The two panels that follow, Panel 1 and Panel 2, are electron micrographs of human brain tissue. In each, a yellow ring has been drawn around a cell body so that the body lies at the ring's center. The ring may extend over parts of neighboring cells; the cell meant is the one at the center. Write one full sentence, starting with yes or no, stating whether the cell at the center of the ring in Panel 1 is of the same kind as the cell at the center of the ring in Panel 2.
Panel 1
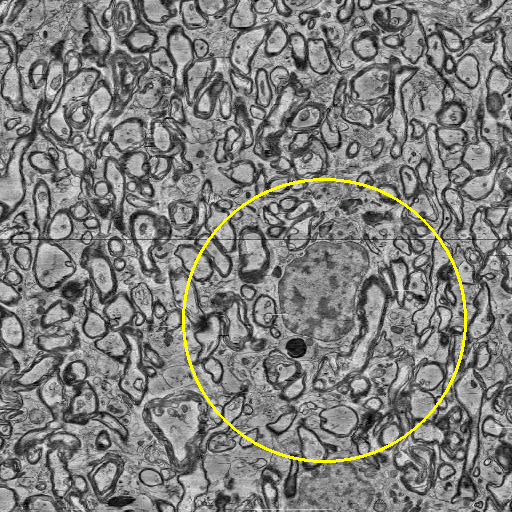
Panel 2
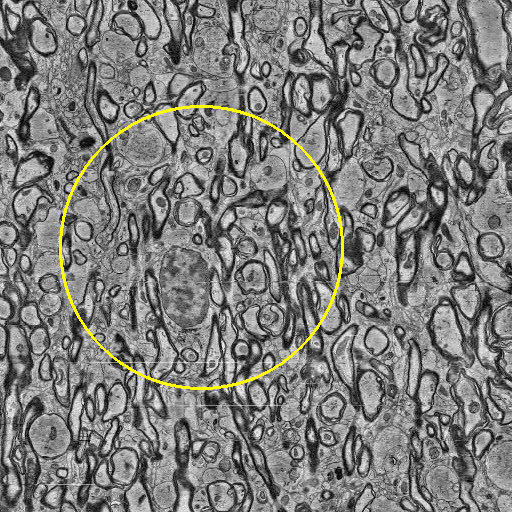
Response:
Yes, the cells in both panels are of the same kind.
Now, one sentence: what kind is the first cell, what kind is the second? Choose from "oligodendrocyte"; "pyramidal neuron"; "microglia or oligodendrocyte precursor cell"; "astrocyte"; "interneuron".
In both pictures the ring is centred on a microglial cell or oligodendrocyte precursor cell.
